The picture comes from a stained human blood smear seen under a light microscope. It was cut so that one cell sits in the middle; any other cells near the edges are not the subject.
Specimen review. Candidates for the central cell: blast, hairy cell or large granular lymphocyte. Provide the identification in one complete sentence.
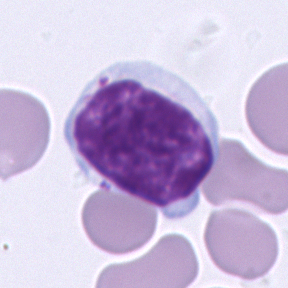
In the middle of this smear crop, the cell is a large granular lymphocyte.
